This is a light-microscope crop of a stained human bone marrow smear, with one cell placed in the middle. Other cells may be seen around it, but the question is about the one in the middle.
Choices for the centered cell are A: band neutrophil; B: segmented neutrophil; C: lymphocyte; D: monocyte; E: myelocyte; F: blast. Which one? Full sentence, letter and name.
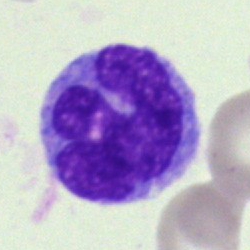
The correct choice is option D, which identifies the middle cell as a monocyte.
